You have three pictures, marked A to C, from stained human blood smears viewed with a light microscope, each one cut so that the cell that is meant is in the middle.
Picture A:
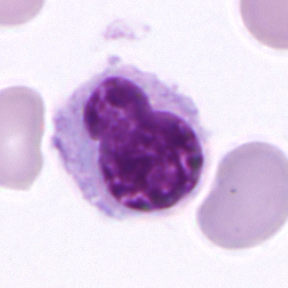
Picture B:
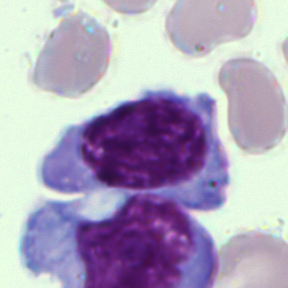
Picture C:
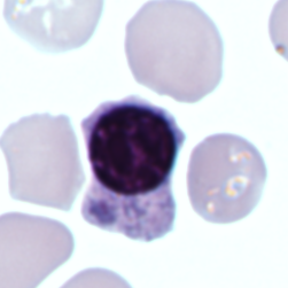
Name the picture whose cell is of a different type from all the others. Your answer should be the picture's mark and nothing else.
C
